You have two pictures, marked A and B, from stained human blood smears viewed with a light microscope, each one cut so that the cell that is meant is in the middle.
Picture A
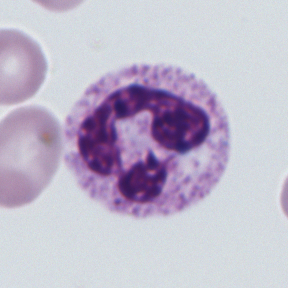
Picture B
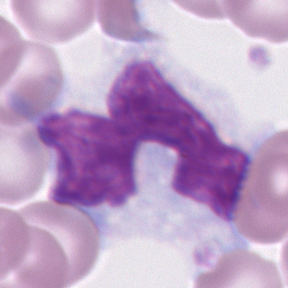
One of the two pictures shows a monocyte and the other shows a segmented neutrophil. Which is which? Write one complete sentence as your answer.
Picture A is of a segmented neutrophil, and picture B is of a monocyte.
